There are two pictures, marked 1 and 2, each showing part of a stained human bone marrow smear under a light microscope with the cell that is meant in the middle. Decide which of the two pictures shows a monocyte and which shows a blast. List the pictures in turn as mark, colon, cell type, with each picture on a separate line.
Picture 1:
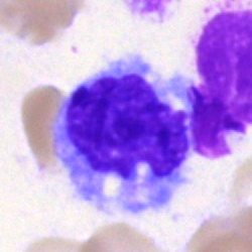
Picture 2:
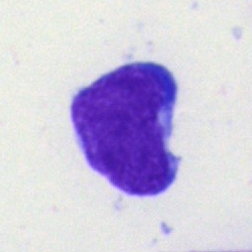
1: monocyte
2: blast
